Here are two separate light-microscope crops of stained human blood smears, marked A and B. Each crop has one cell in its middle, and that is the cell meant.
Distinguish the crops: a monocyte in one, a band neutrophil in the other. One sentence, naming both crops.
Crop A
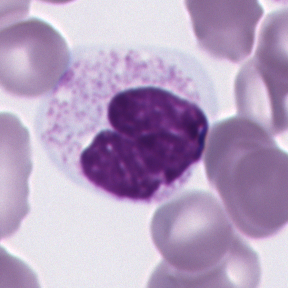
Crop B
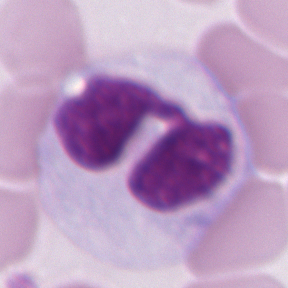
Crop A depicts a band neutrophil, and crop B depicts a monocyte.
